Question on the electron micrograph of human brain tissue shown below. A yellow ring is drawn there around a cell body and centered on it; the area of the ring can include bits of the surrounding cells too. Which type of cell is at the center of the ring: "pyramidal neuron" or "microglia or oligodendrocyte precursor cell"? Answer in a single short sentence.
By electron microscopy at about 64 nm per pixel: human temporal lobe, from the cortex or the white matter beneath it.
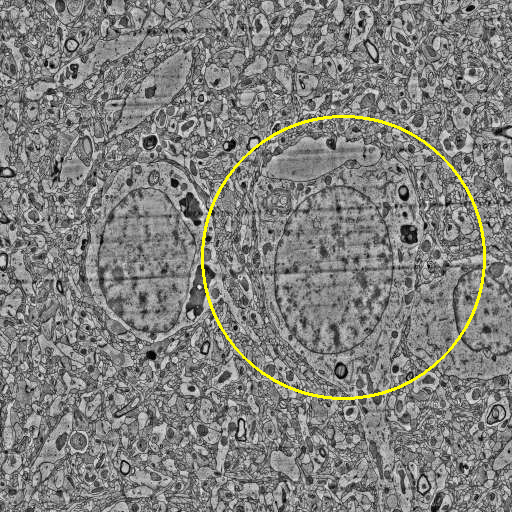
The ring is centered on a pyramidal neuron.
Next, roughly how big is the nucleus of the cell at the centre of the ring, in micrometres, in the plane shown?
In this plane the nucleus is about 11 micrometres by 8.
